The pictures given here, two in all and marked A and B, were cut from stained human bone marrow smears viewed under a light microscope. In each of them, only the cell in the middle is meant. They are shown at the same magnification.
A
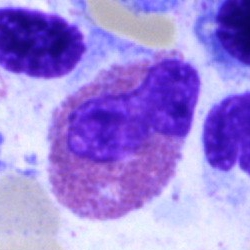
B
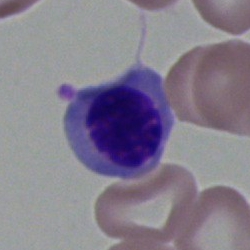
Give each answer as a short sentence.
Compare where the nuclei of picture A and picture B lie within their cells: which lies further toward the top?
The nucleus in picture A lies further toward the top of its cell.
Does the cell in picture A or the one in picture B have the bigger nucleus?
Picture A shows the larger nucleus; it covers about 2 times the area of the nucleus in picture B.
